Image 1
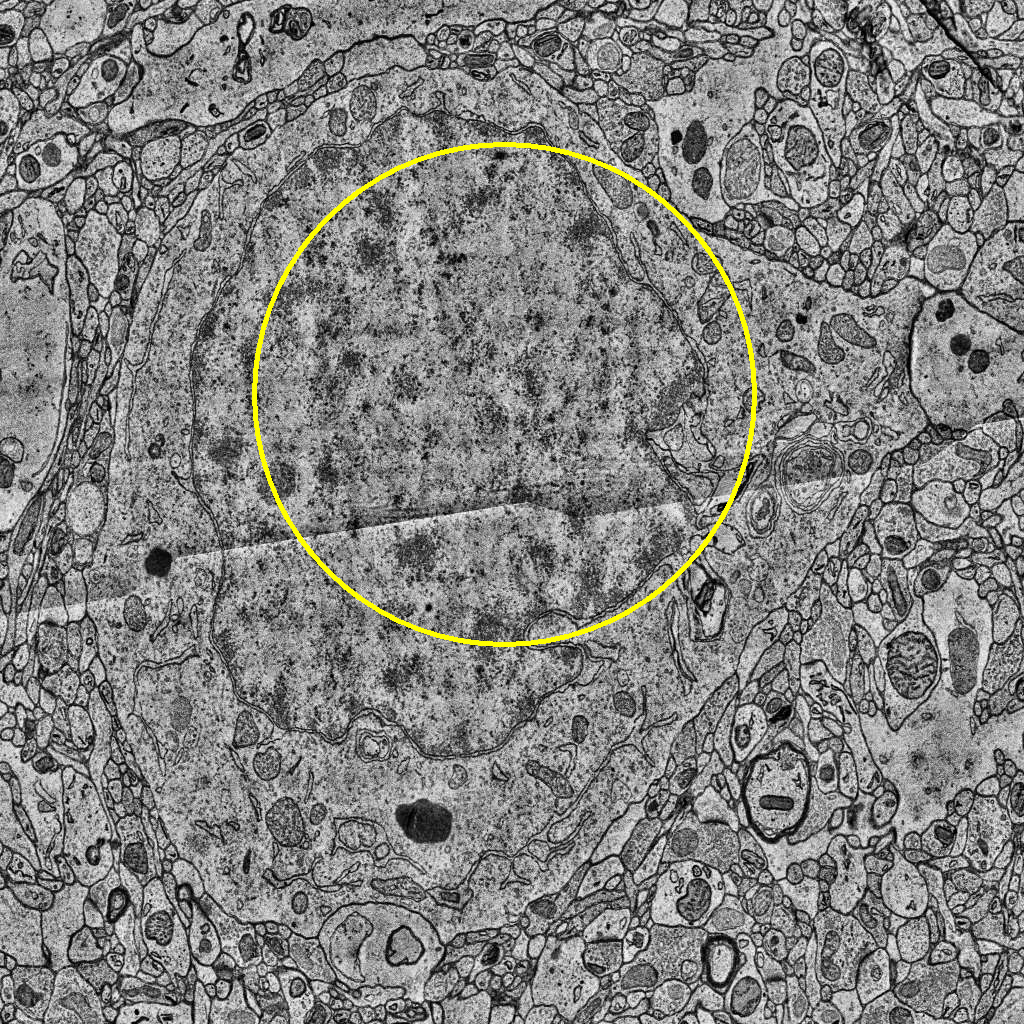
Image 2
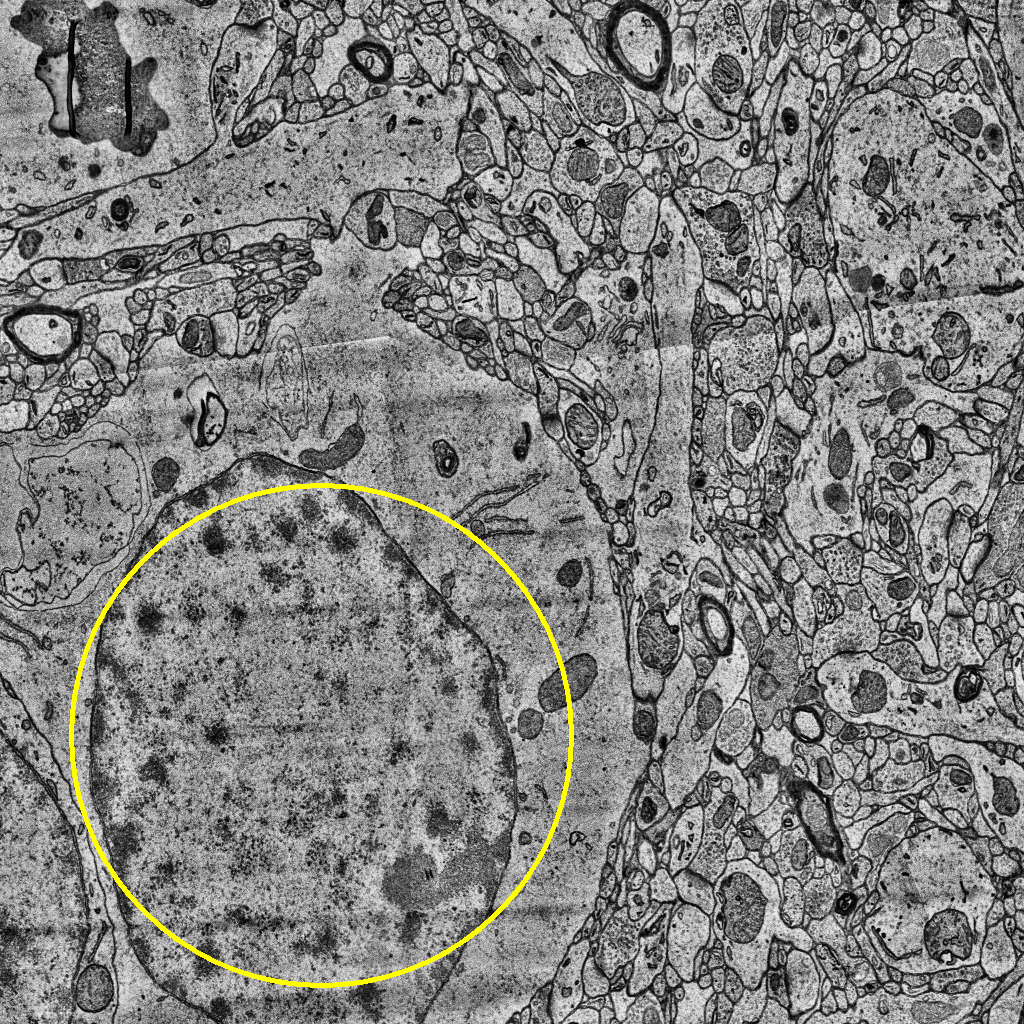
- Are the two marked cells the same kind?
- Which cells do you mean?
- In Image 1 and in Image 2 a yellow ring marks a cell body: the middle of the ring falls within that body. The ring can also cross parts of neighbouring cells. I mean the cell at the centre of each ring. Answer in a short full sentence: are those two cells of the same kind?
No, the cells are of two kinds.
